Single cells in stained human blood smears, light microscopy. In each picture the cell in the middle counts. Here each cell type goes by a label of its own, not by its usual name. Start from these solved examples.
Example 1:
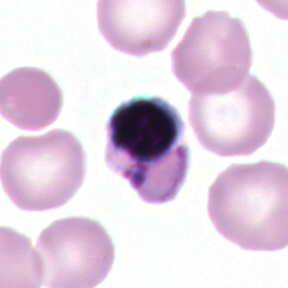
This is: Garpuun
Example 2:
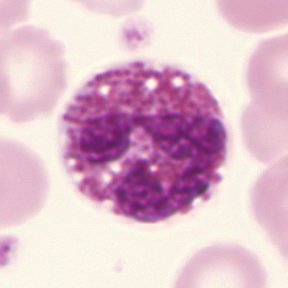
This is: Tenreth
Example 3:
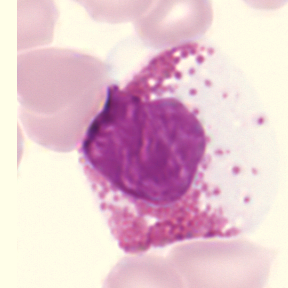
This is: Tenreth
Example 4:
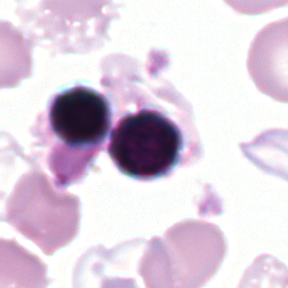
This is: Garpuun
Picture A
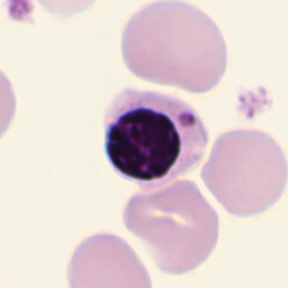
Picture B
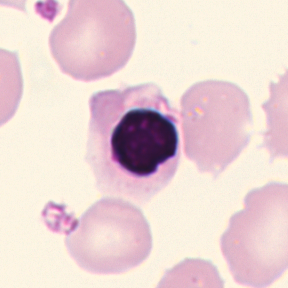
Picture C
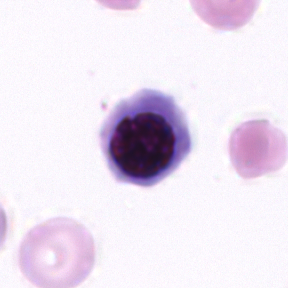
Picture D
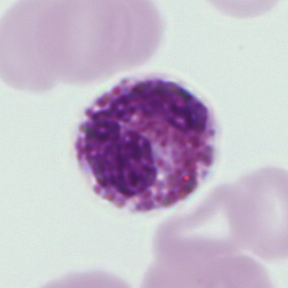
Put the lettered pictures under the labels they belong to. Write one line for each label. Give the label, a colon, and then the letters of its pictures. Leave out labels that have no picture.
Garpuun: A, B, C
Tenreth: D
